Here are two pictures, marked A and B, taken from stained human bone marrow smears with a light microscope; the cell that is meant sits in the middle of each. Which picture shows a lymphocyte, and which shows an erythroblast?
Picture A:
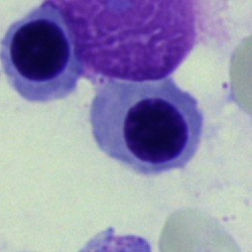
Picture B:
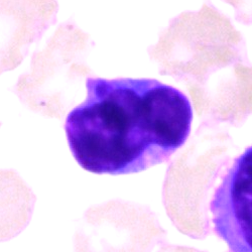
A: erythroblast
B: lymphocyte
